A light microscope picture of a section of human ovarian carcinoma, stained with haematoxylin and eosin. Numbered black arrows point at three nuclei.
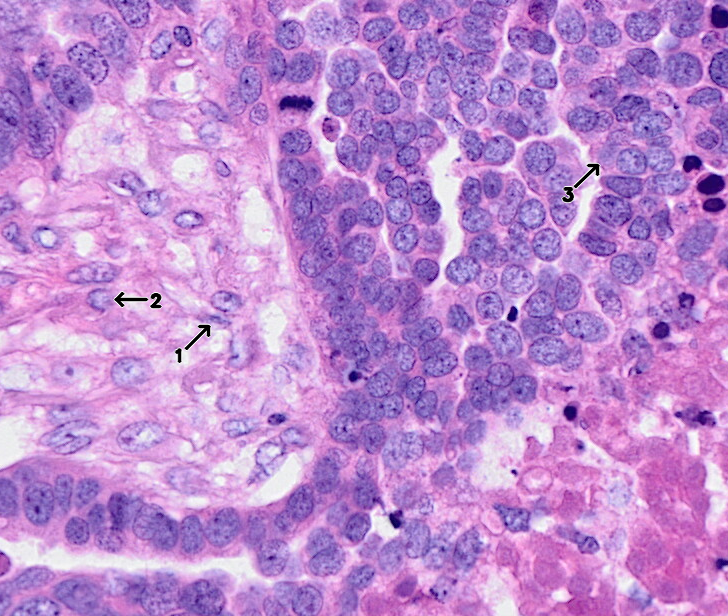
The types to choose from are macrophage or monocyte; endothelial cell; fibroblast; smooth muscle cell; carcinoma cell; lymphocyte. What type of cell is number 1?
fibroblast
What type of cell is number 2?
fibroblast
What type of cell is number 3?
carcinoma cell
